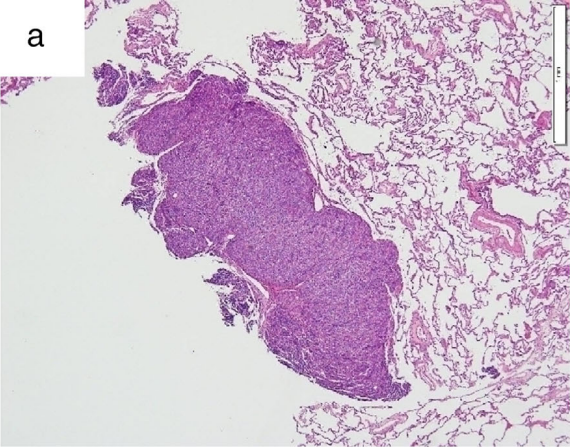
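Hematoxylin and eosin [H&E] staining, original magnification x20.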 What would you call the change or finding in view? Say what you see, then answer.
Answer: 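A compact, densely purple cellular nodule. Its border is sharply set off from the surrounding tissue. Pale, lacy alveolar lung tissue surrounds the nodule.
A well‐defined tumor.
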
